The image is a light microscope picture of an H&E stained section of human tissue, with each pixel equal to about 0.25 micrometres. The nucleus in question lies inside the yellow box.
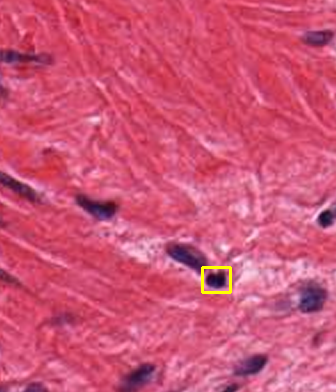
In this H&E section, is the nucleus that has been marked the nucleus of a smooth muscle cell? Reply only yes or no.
no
